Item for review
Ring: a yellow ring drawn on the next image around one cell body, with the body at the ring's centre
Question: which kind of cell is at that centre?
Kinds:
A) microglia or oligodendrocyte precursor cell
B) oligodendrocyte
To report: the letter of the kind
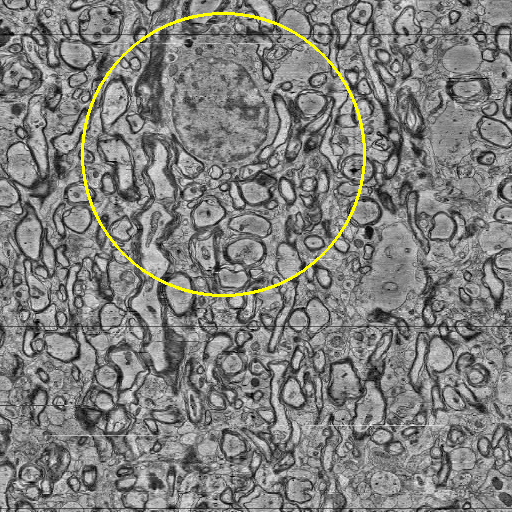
B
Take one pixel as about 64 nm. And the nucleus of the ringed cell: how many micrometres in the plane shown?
Roughly 7 by 6 micrometres in this plane, for the nucleus of the ringed cell.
